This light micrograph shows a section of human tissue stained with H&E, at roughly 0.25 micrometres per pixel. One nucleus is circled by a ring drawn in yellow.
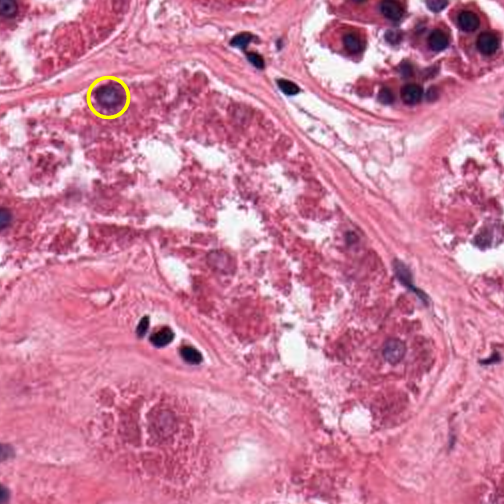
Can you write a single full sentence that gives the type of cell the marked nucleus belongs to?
Here the marked nucleus is part of a proximal tubule cell.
